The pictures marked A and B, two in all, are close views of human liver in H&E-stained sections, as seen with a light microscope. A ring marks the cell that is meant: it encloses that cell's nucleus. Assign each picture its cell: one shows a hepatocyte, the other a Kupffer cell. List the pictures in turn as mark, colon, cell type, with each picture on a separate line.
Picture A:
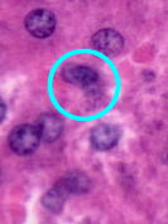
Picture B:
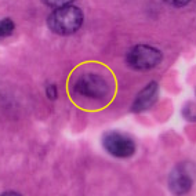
A: Kupffer cell
B: hepatocyte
